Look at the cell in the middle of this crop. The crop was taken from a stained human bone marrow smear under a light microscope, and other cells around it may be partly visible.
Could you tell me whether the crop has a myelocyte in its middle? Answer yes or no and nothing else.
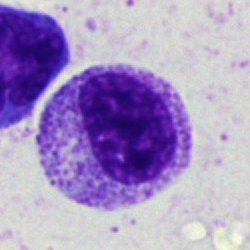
yes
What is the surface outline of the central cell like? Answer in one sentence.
Smooth all around, the outline has no projections to report.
